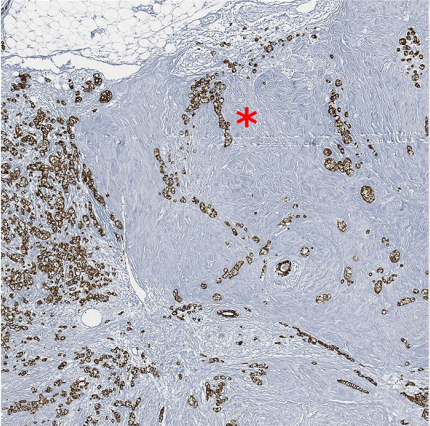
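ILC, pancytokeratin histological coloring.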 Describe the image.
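Brown-stained tumor cells are arranged in thin single files and cords running through a wide field of pale blue dense fibrous stroma. A crowded mass of brown cells fills the left edge, and fat tissue appears as empty spaces at the top.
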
